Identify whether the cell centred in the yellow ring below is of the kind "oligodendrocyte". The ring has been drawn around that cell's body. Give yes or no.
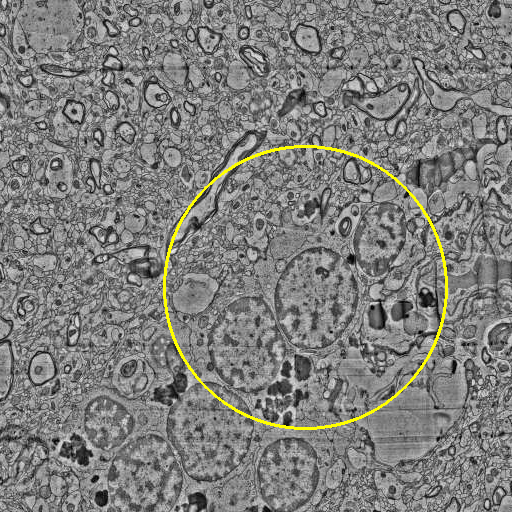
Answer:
yes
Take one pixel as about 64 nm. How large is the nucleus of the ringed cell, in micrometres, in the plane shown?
The nucleus appears roughly 7 by 5 micrometres in this plane.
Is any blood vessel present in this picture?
Yes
